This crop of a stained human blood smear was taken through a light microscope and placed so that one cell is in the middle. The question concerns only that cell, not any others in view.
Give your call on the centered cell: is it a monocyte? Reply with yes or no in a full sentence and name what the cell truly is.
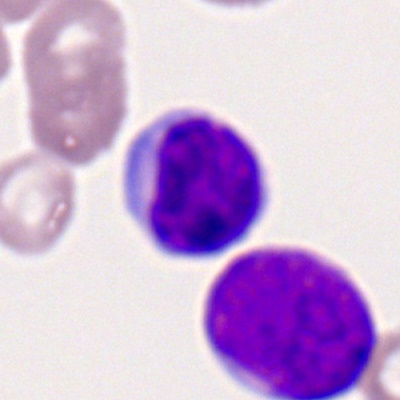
No, the cell of interest here is a lymphocyte and not a monocyte.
